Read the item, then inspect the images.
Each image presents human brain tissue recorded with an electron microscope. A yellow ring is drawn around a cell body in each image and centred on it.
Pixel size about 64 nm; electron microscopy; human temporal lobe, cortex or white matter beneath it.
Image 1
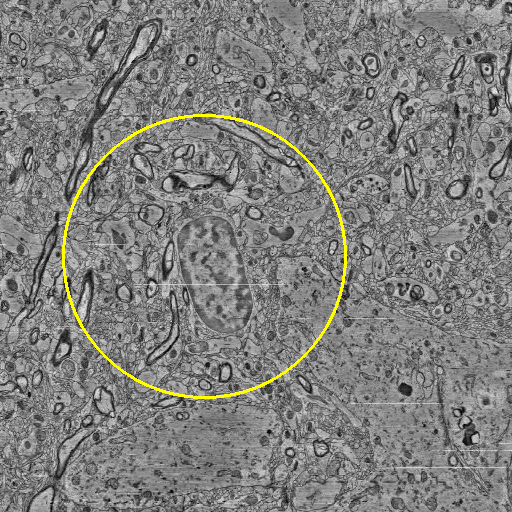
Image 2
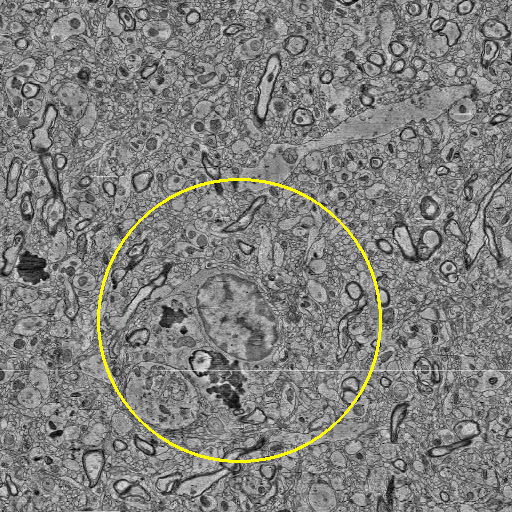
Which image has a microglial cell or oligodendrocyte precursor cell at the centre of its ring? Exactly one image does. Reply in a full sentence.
The ring in Image 1 is centred on it.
